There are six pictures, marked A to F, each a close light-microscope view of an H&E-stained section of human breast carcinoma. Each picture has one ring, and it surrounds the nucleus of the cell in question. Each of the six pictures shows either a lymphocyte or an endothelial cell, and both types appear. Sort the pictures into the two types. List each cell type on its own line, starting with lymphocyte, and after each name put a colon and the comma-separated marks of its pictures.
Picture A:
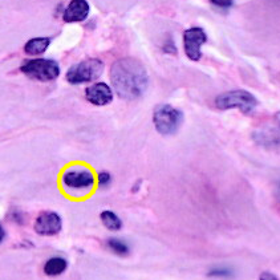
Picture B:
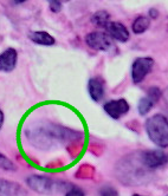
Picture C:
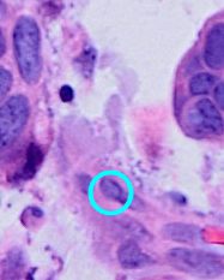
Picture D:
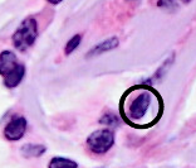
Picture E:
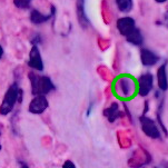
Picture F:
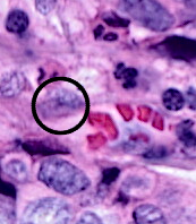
lymphocyte: A, D
endothelial cell: B, C, E, F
